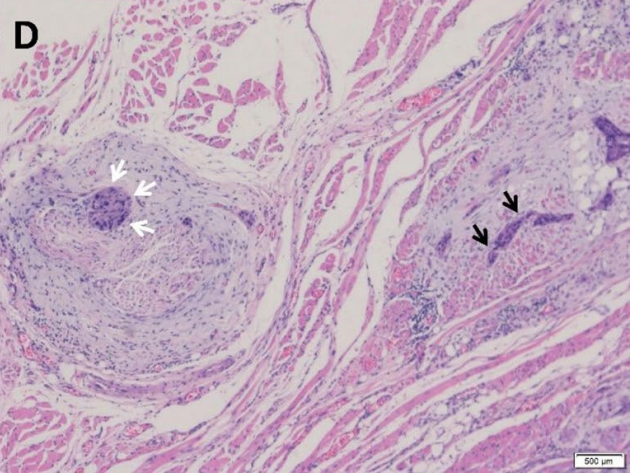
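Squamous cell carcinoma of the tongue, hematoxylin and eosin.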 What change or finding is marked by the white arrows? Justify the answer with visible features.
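The arrows surround a compact dark purple cell nest. The nest lies within a round, concentrically layered pale bundle. The answer: tumor cells invading the nerves.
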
